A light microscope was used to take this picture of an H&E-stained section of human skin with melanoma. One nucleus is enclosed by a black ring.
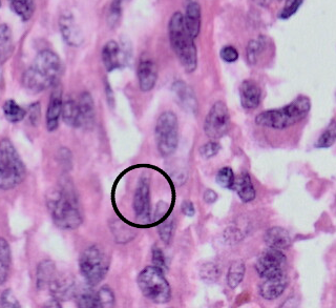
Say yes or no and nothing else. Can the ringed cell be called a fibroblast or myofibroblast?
no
